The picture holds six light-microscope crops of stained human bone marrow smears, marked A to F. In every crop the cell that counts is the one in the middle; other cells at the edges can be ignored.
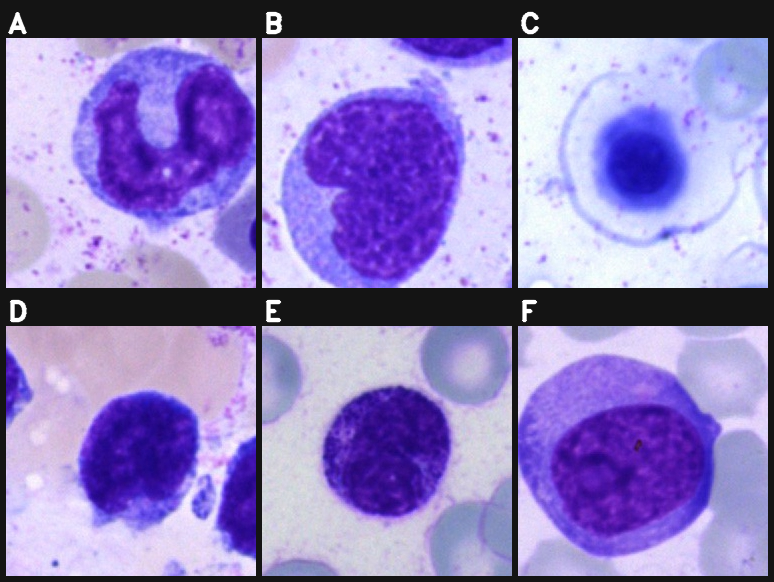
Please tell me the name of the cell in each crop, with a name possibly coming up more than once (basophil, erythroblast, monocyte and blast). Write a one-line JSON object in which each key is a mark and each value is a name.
{"A": "monocyte", "B": "monocyte", "C": "erythroblast", "D": "blast", "E": "basophil", "F": "blast"}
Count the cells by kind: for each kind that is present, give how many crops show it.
monocyte: 2
blast: 2
erythroblast: 1
basophil: 1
